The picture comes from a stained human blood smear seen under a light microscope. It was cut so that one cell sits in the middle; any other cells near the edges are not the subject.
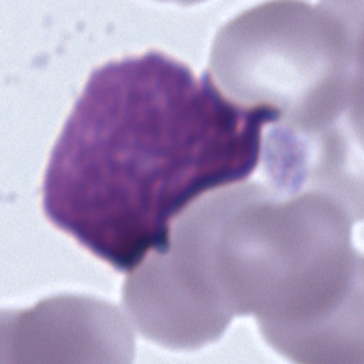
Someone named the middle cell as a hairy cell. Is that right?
no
